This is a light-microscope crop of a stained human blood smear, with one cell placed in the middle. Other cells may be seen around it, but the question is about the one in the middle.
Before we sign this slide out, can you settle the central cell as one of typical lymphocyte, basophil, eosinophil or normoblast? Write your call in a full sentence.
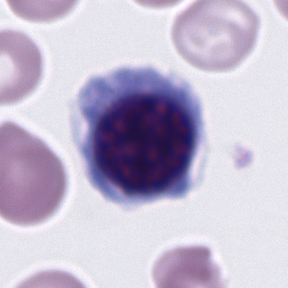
For this crop, the cell in the middle is a normoblast.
